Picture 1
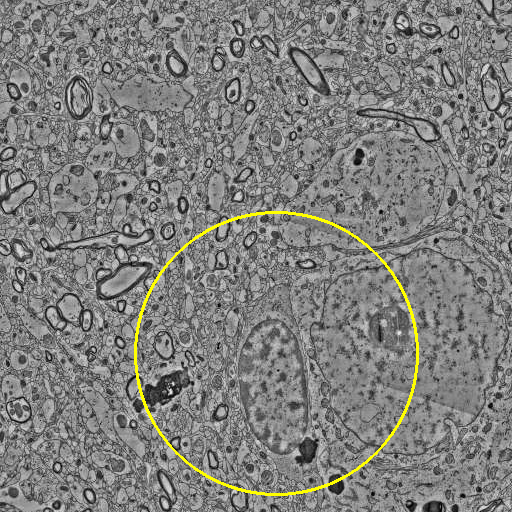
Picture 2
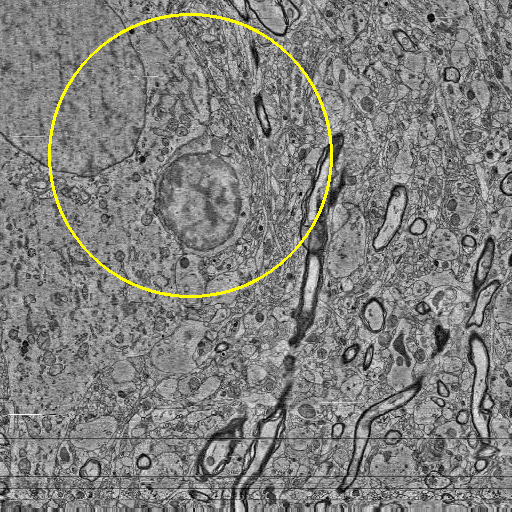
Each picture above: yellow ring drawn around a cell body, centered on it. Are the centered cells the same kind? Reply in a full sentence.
Yes, the two cells are the same kind.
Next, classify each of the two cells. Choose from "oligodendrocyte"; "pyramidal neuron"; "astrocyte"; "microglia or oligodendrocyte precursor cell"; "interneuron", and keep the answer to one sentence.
Both the first and the second picture show an oligodendrocyte in the ring.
